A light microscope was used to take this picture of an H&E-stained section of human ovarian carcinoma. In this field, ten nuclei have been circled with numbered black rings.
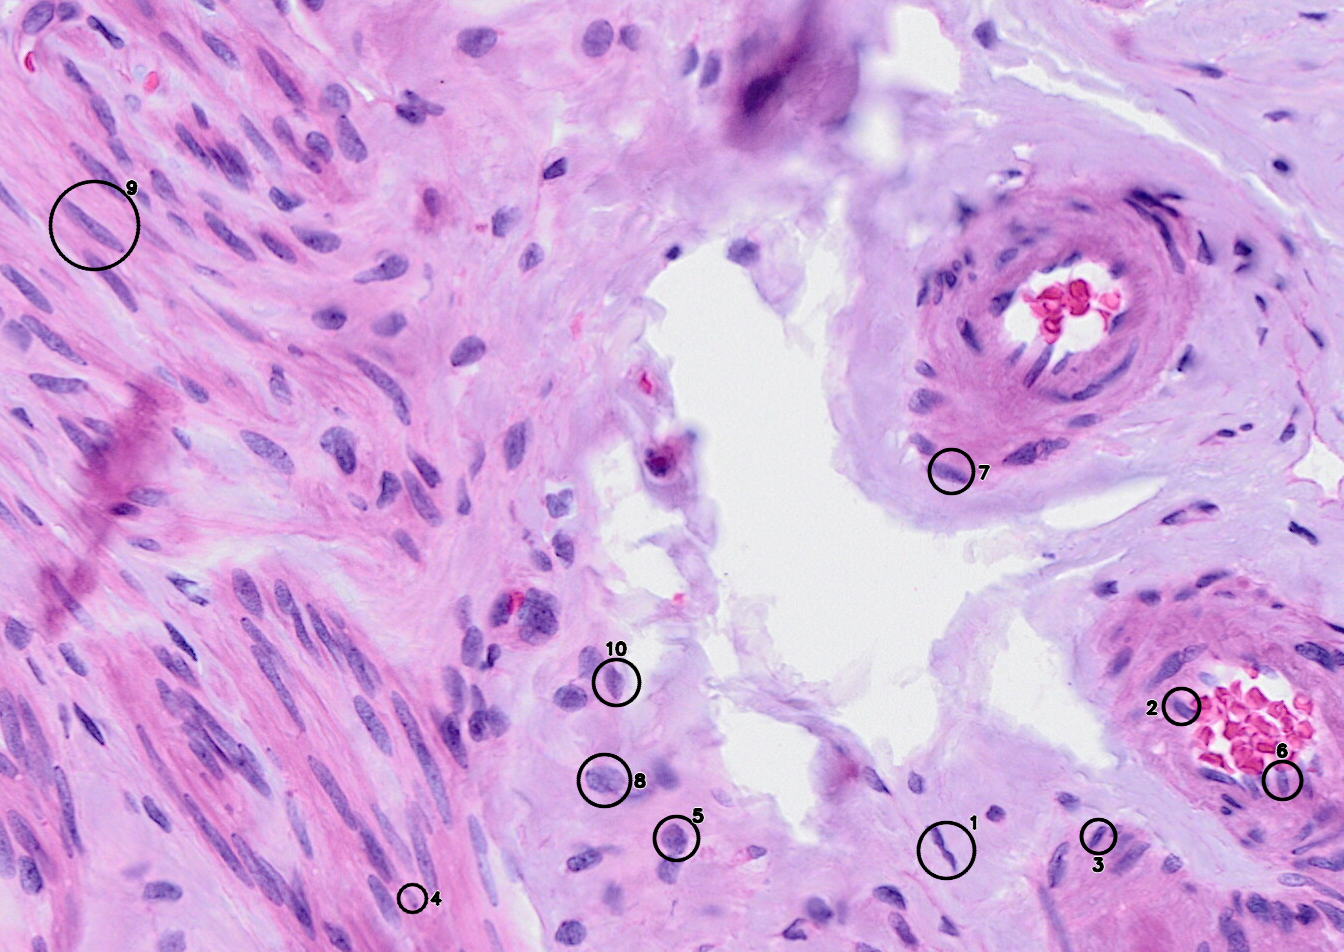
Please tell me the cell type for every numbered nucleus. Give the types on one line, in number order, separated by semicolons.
fibroblast; endothelial cell; smooth muscle cell; smooth muscle cell; fibroblast; endothelial cell; smooth muscle cell; fibroblast; smooth muscle cell; fibroblast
